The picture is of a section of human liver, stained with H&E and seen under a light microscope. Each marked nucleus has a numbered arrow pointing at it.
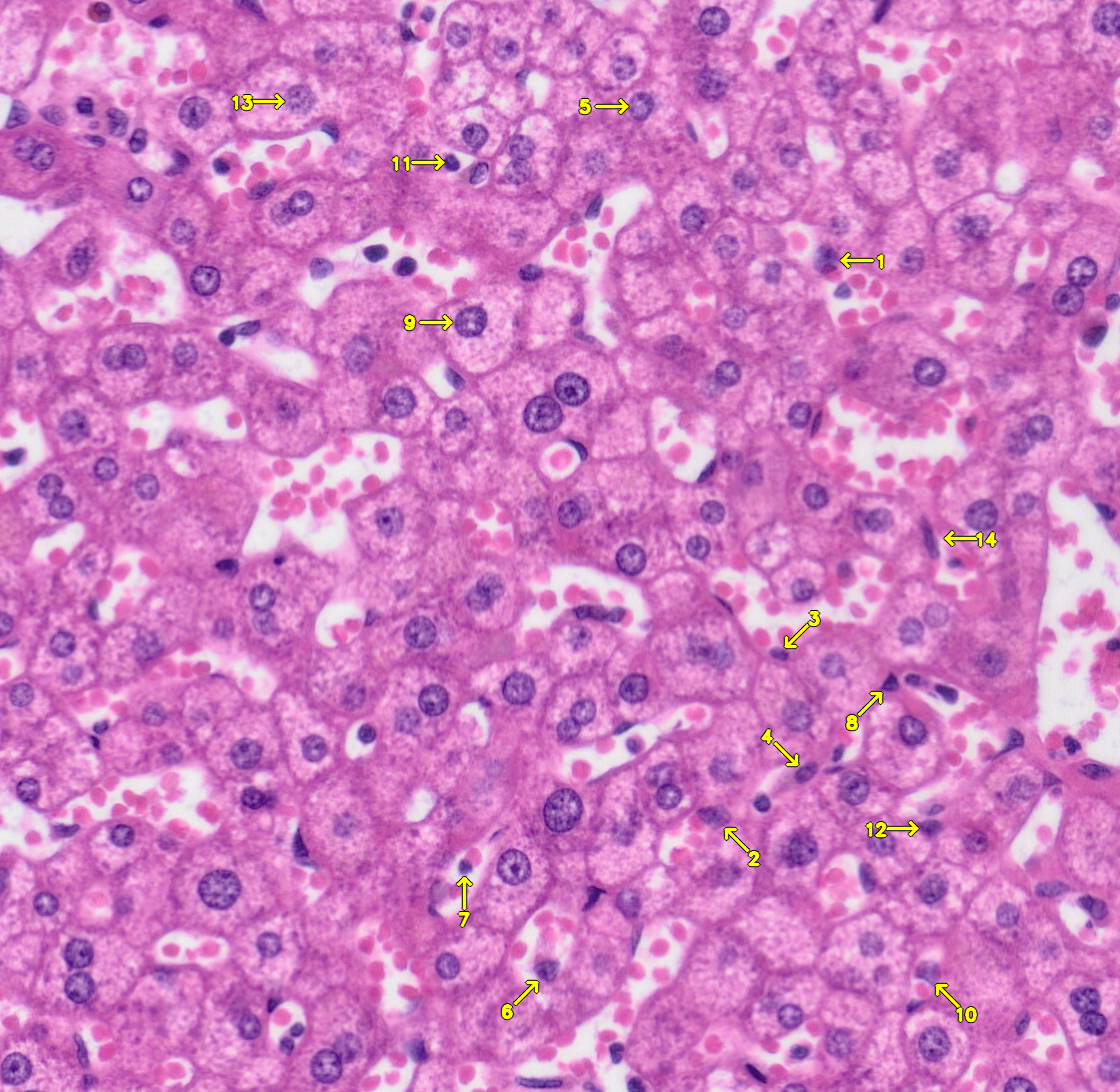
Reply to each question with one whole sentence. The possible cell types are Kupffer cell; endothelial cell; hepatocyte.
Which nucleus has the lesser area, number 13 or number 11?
Number 11 is smaller, since number 13 takes up about 2.5 times as much area.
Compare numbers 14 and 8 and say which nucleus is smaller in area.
Nucleus 8 covers less area, with nucleus 14 about 1.5 times as large.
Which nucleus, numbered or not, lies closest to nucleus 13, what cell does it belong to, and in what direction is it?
The nearest one is an endothelial cell, found below and to the right of nucleus 13.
